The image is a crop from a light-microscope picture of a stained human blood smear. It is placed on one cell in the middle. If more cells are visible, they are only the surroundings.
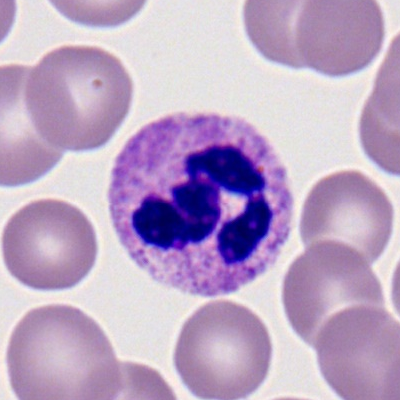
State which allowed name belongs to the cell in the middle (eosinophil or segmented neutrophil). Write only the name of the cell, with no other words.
segmented neutrophil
